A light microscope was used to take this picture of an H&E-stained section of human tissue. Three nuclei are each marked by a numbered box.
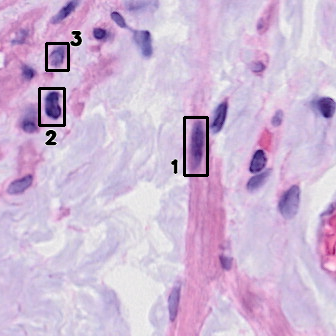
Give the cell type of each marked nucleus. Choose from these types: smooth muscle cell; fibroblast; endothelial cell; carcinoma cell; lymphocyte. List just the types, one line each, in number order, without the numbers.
smooth muscle cell
lymphocyte
smooth muscle cell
